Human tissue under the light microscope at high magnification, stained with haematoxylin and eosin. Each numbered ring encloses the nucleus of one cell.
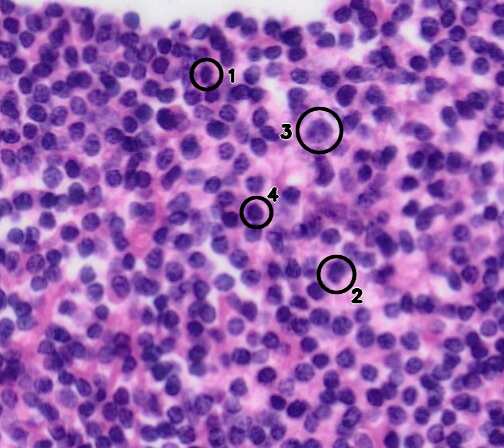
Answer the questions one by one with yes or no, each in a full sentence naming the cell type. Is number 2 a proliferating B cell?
Yes, the cell pointed out as number 2 is a proliferating B cell.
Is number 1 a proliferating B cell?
No, it is not a proliferating B cell that bears number 1 but a small lymphocyte.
